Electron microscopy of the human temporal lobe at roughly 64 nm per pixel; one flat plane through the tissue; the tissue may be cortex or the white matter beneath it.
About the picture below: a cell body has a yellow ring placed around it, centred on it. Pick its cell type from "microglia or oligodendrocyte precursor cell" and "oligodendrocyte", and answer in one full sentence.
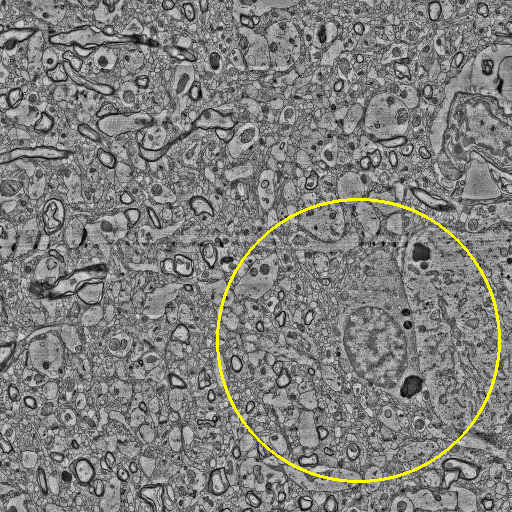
In the picture, an oligodendrocyte is the cell sitting at the centre of the yellow ring.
